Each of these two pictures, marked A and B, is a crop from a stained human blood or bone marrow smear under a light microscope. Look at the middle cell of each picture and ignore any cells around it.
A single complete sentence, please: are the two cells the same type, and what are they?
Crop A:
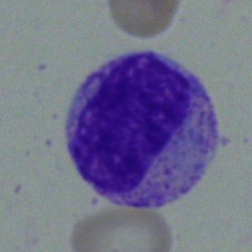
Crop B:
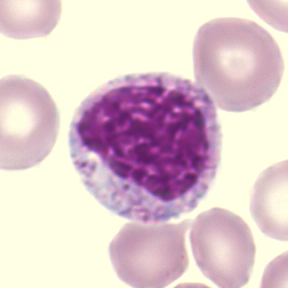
Yes, both crops in the pair show myelocytes.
